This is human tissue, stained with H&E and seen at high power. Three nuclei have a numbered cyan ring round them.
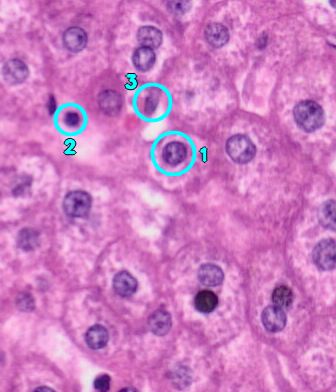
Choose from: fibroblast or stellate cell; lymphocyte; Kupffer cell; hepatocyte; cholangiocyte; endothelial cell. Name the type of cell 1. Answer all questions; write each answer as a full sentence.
The cell marked with the number 1 is a hepatocyte.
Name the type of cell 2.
Cell 2 of the marked set is a lymphocyte.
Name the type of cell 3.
The cell that carries the label 3 is a Kupffer cell.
